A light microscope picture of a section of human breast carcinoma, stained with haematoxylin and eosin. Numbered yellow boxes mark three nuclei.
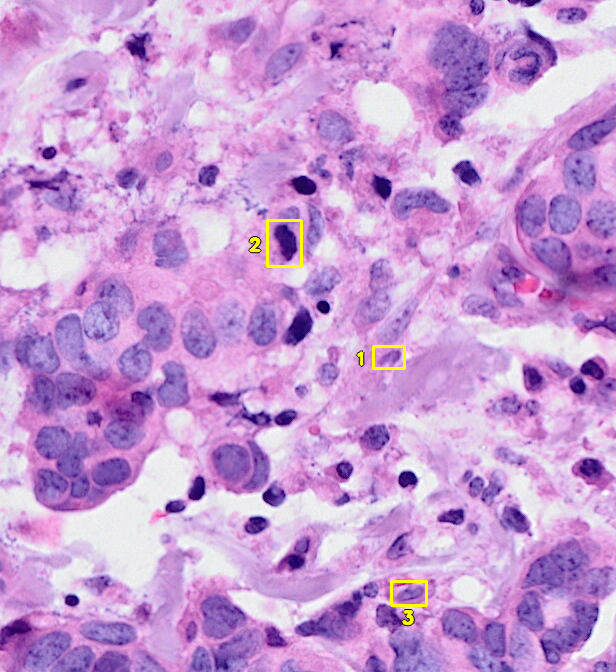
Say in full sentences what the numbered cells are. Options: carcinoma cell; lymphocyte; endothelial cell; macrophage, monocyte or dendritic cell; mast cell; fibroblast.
Cell 1 is a fibroblast, cell 2 is a carcinoma cell and cell 3 is an endothelial cell.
